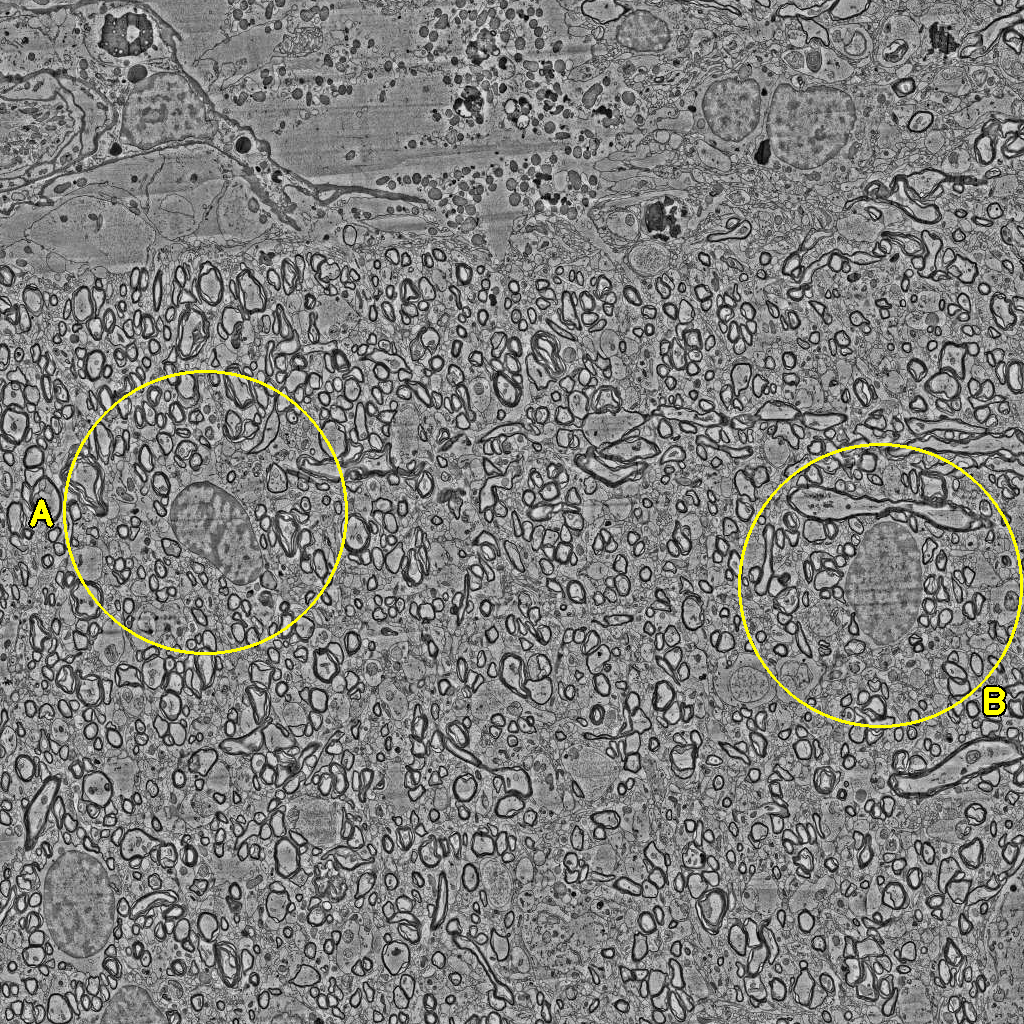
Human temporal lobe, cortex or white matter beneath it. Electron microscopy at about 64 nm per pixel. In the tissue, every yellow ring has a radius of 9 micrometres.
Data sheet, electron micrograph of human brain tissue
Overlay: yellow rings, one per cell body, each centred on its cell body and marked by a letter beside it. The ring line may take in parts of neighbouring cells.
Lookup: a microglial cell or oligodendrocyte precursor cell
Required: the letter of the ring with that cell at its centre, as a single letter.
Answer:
A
